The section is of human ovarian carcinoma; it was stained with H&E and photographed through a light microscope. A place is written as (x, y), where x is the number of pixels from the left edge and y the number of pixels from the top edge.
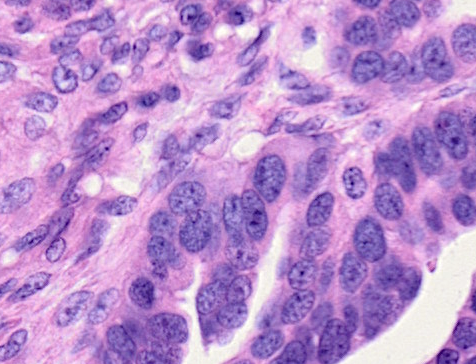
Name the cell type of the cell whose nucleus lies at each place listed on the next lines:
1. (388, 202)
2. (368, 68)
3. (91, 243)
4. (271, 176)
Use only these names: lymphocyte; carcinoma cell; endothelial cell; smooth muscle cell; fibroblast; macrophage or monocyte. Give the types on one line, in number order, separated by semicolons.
carcinoma cell; carcinoma cell; fibroblast; carcinoma cell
